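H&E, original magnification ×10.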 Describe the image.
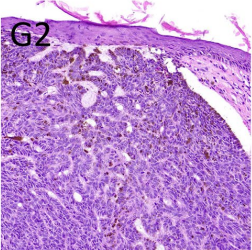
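This is skin with a dermal tumor made of basaloid cells lying just beneath the epidermis. The tumor cells are closely packed, with dark oval nuclei and little pink cytoplasm, forming a dense purple sheet. Scattered brown pigment granules lie among them. A clear cleft separates the tumor mass from the overlying squamous epidermis, which forms a pink layer at the top with a thin keratin surface. Small slit-like spaces are also visible within the tumor, breaking up the sheet of cells.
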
